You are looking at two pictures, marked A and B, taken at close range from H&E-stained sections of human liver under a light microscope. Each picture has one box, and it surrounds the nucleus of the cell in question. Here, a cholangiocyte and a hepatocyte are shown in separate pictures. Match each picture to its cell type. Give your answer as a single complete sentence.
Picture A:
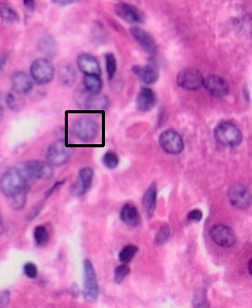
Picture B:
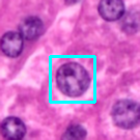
It is picture A that shows a cholangiocyte, and picture B that shows a hepatocyte.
